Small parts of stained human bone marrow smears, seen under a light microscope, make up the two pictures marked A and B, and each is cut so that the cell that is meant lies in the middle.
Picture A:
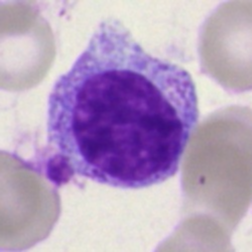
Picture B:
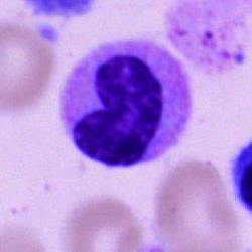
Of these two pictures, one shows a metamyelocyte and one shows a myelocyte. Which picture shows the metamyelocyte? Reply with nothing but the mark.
B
